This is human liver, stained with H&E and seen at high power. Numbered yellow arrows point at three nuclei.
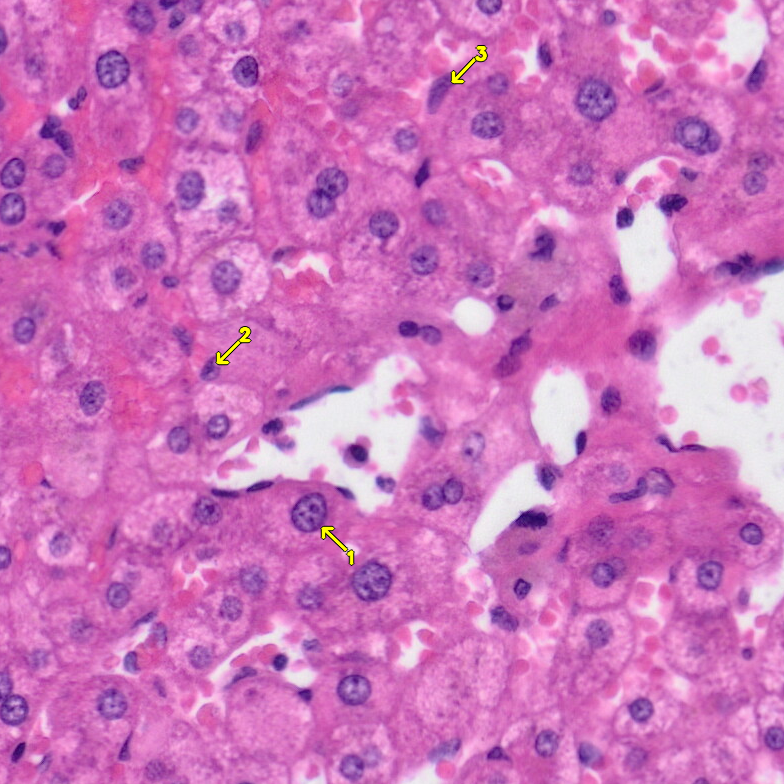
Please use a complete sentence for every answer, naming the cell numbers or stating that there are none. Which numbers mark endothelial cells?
As for the numbered cells, only cell 2 is an endothelial cell.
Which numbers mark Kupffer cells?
Only the nucleus marked 3 is that of a Kupffer cell.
